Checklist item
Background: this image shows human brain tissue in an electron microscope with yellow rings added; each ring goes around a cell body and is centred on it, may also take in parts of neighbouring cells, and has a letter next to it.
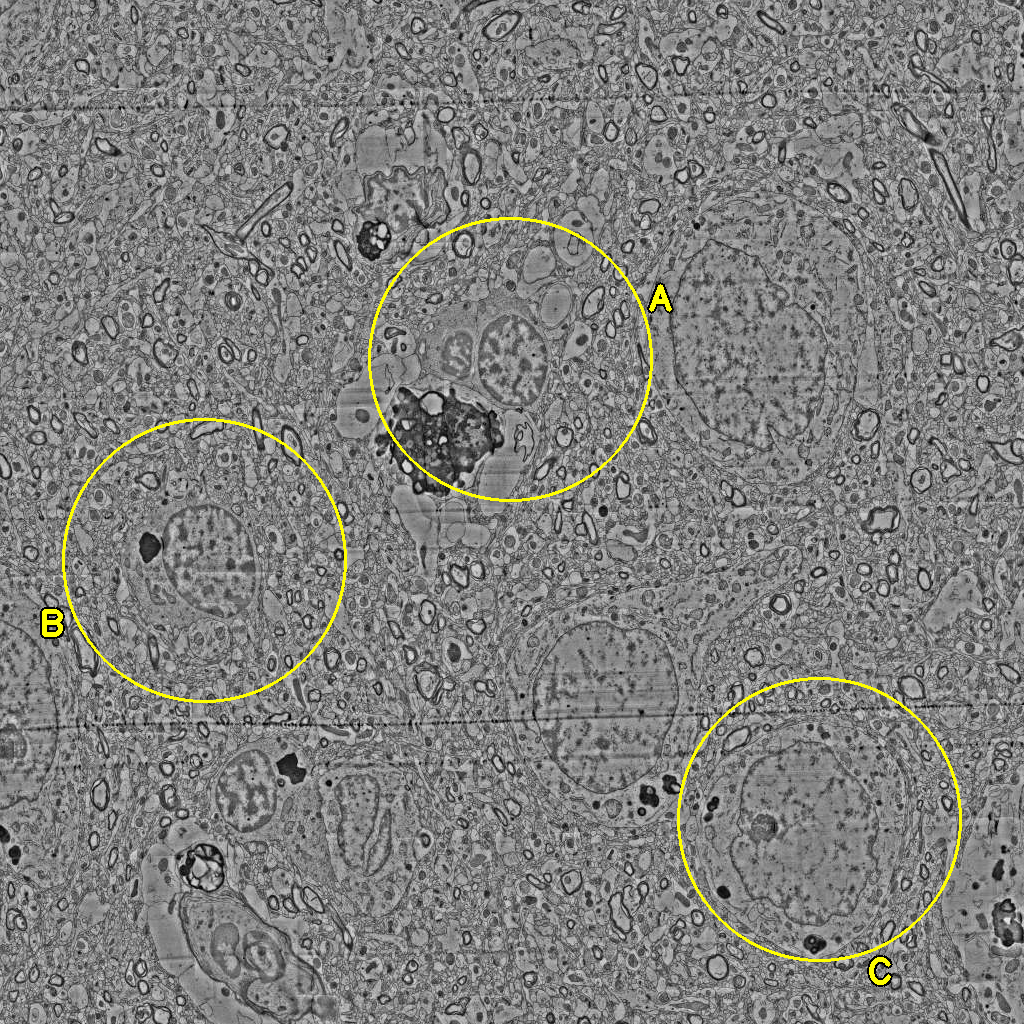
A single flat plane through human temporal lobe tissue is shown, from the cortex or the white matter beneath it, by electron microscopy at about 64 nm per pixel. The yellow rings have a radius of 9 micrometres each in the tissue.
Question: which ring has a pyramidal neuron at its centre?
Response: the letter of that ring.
C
